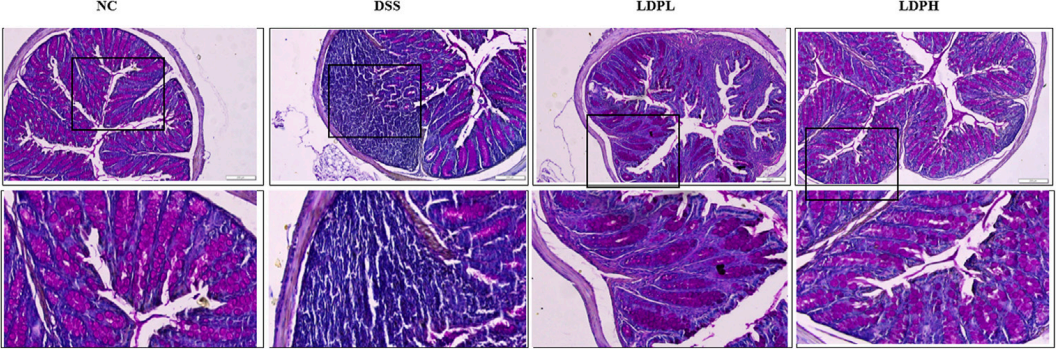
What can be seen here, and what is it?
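Cross sections of colon show long crypts radiating toward a branched central lumen, ringed by a thin pale outer muscle wall. In most sections the crypt epithelium is packed with magenta mucin-filled goblet cells between blue-purple nuclei. In one section a large region has lost its orderly crypts and is replaced by dense bluish tissue with little magenta.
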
